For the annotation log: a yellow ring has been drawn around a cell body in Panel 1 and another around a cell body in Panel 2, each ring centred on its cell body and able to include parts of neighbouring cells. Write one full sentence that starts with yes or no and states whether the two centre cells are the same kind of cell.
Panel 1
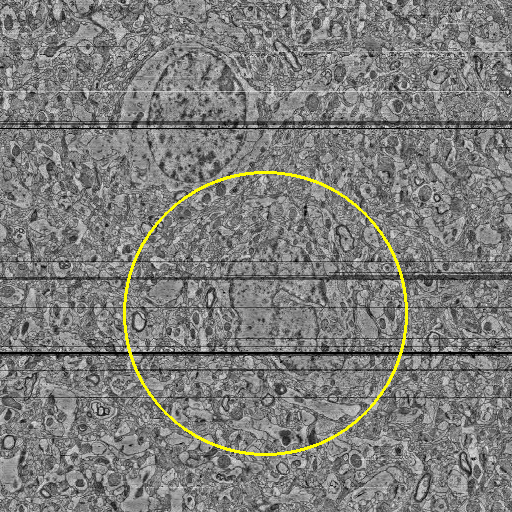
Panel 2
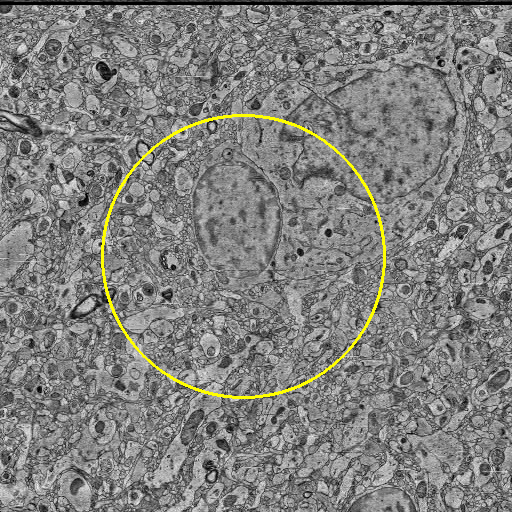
No, the two centre cells are two kinds of cell.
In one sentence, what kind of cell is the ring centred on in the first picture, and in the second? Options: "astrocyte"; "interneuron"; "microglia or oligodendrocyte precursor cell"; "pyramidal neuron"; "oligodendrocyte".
The cell at the centre of the second ring is an oligodendrocyte; the first ring's cell is an interneuron.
